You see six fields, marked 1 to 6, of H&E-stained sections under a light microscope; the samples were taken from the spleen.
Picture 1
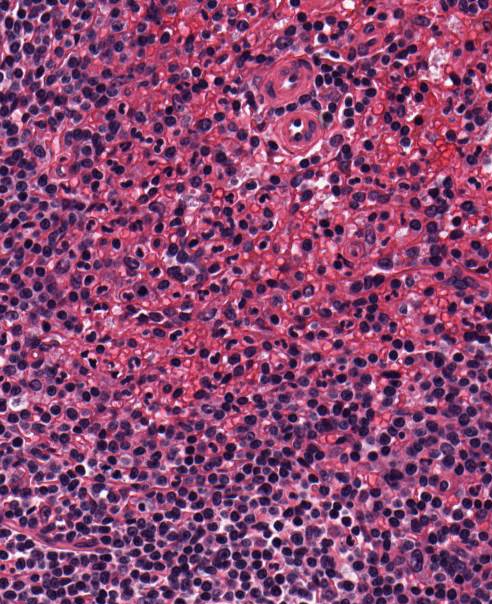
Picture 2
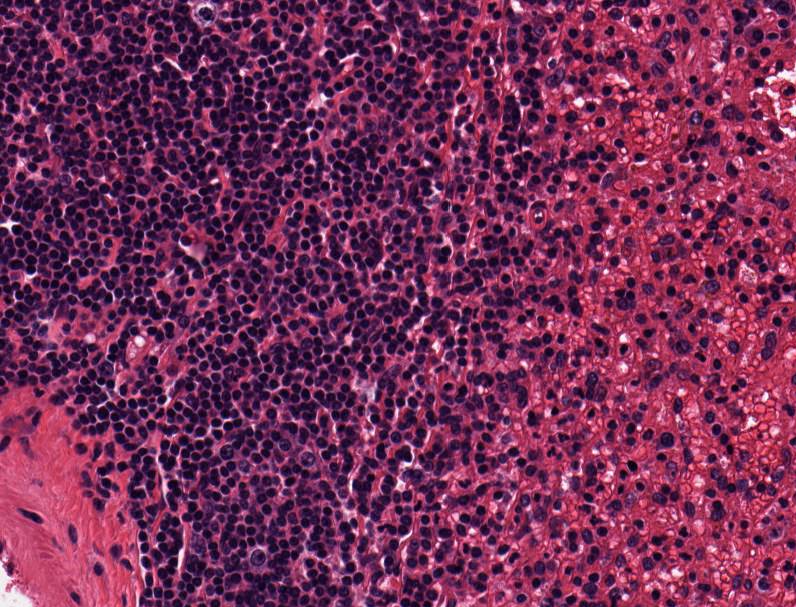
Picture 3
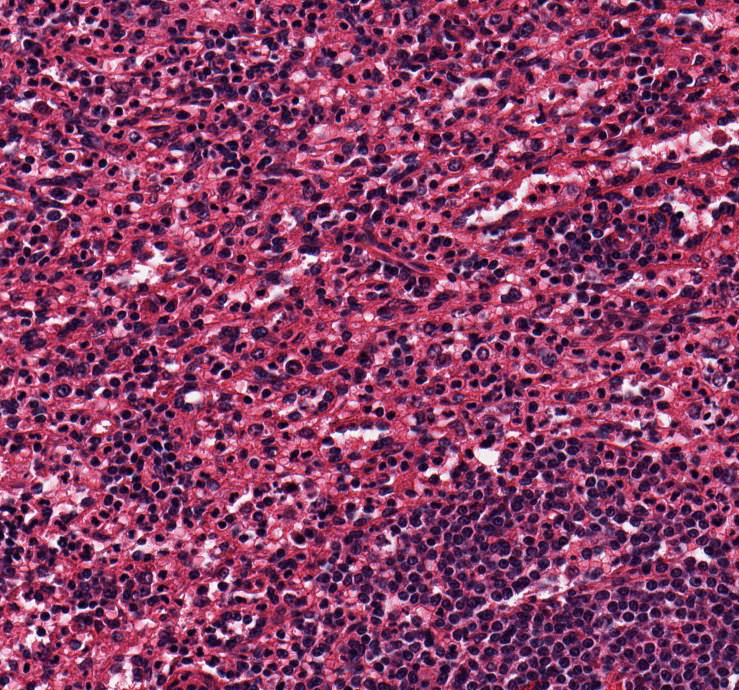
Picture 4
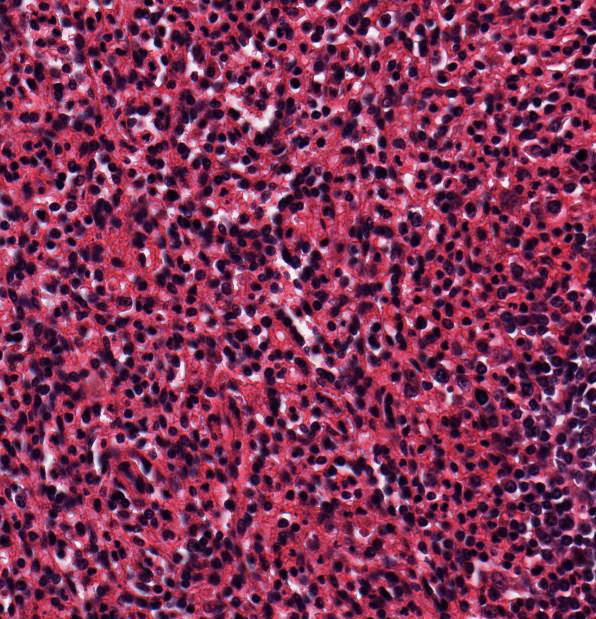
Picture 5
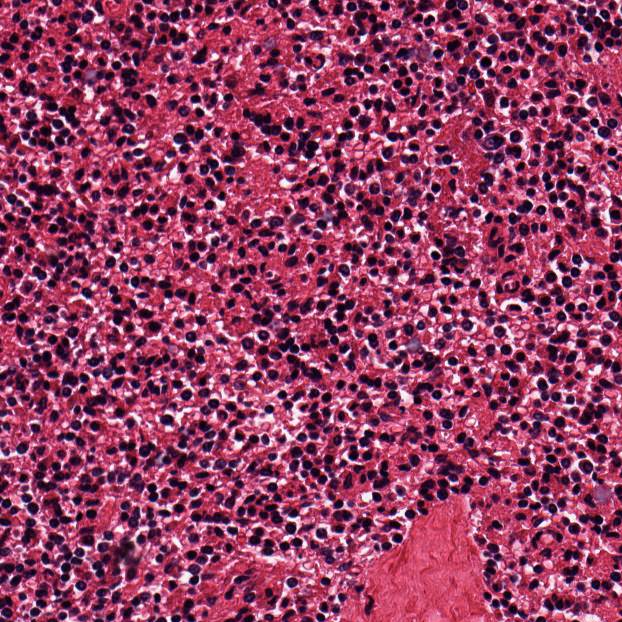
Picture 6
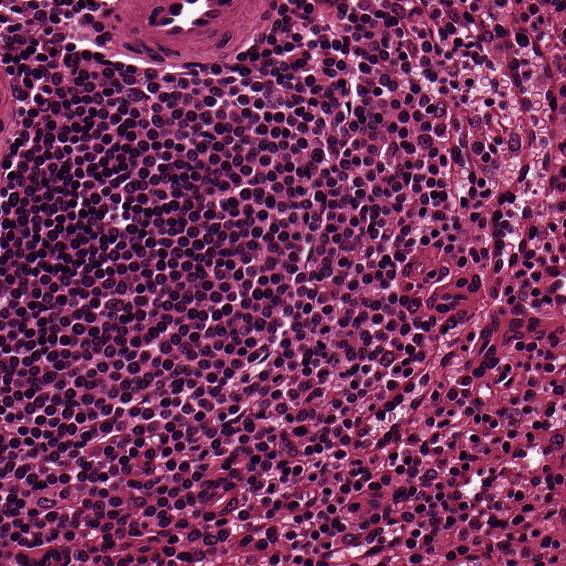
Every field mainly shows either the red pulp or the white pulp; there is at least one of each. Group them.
1: white pulp
2: white pulp
3: red pulp
4: red pulp
5: red pulp
6: white pulp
